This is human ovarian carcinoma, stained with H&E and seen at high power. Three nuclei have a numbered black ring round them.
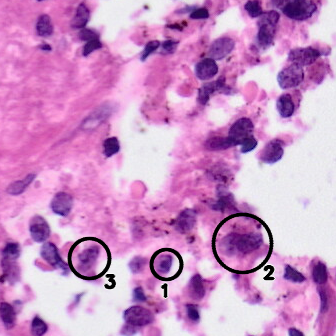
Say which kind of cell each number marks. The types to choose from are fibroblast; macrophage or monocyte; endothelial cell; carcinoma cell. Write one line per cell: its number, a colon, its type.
1: macrophage or monocyte
2: carcinoma cell
3: macrophage or monocyte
